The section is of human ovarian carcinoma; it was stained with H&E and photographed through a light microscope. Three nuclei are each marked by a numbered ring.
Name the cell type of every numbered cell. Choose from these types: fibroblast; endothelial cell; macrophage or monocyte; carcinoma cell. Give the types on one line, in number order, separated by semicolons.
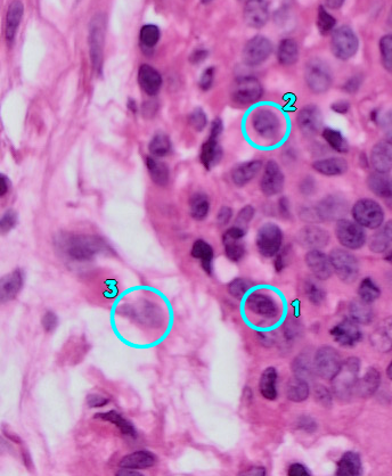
carcinoma cell; macrophage or monocyte; fibroblast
